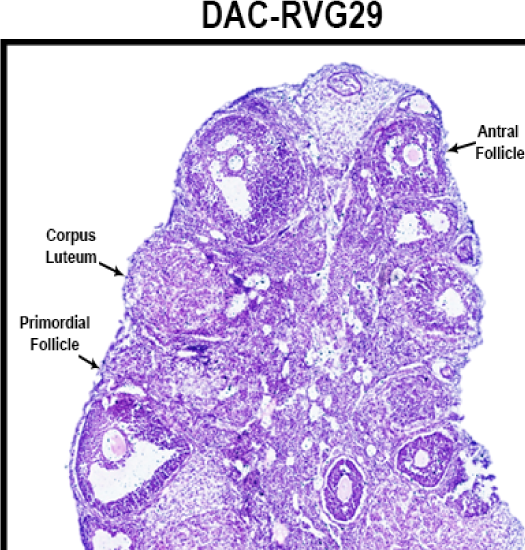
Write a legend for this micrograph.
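Growing follicles show a central oocyte ringed by several layers of small, densely nucleated granulosa cells, and some larger follicles have a pale fluid-filled cavity. Large rounded masses of paler, closely packed cells without an oocyte lie among the follicles, and small follicles sit near the outer surface.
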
